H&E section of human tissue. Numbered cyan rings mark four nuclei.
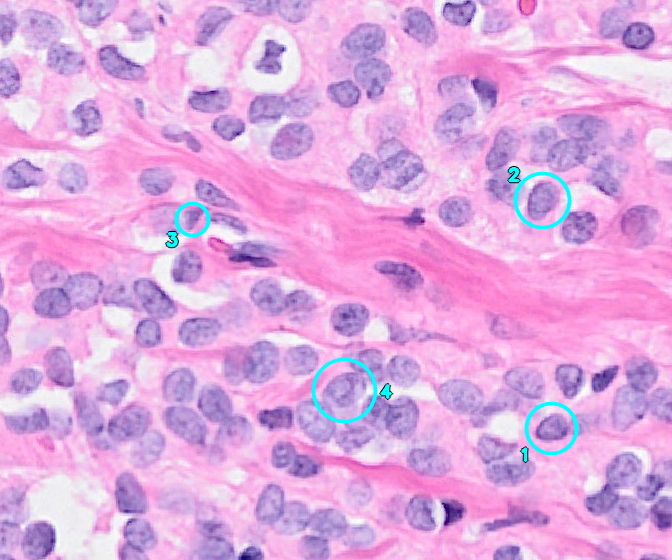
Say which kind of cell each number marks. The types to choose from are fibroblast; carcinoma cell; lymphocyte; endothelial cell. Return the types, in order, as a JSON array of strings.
["carcinoma cell", "carcinoma cell", "endothelial cell", "carcinoma cell"]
